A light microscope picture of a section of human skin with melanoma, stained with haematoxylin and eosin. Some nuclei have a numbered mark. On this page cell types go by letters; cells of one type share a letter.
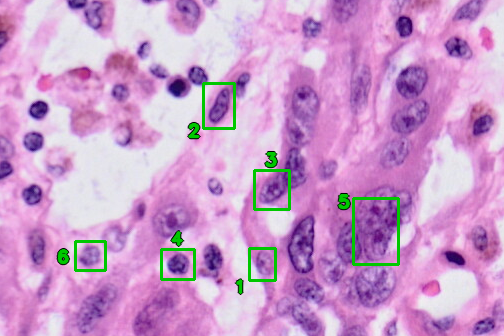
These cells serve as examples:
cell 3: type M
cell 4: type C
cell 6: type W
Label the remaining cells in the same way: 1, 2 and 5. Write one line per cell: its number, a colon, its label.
1: type M
2: type W
5: type M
